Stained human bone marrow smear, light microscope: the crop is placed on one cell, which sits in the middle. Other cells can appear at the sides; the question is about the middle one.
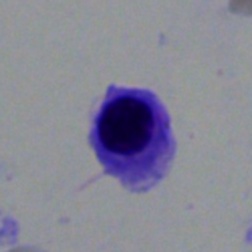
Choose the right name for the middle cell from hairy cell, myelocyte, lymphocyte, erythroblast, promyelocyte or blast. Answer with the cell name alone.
erythroblast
